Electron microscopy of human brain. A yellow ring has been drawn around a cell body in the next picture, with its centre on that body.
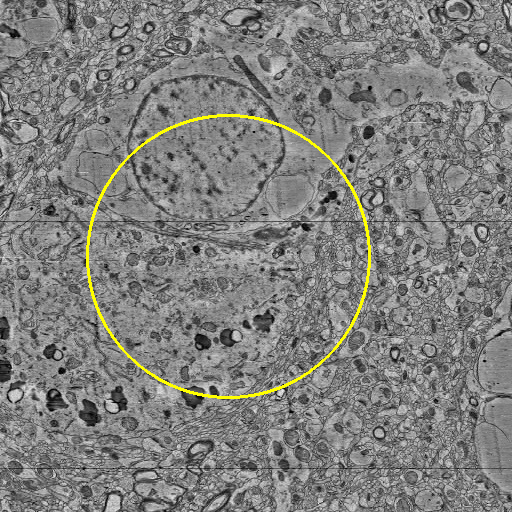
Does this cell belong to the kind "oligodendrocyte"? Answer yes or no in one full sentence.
No, the ringed cell in this picture, sitting at the ring's centre, is of another kind.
